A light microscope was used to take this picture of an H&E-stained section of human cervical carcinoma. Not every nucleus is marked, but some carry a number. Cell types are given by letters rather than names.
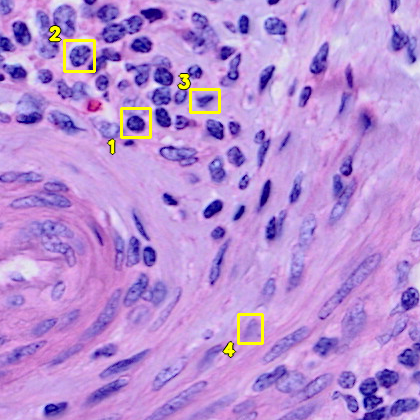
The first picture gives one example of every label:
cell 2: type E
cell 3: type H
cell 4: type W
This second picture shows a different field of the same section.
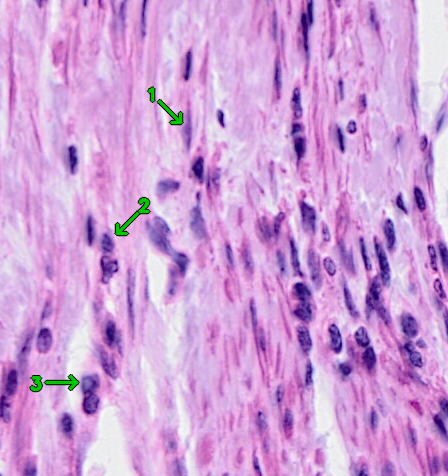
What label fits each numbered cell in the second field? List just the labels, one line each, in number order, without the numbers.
type H
type E
type E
